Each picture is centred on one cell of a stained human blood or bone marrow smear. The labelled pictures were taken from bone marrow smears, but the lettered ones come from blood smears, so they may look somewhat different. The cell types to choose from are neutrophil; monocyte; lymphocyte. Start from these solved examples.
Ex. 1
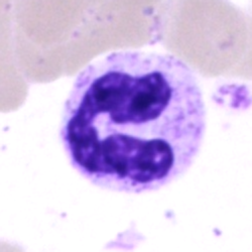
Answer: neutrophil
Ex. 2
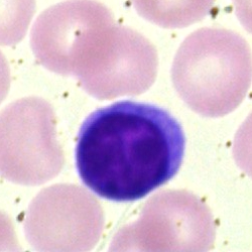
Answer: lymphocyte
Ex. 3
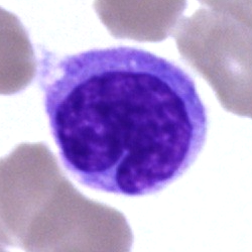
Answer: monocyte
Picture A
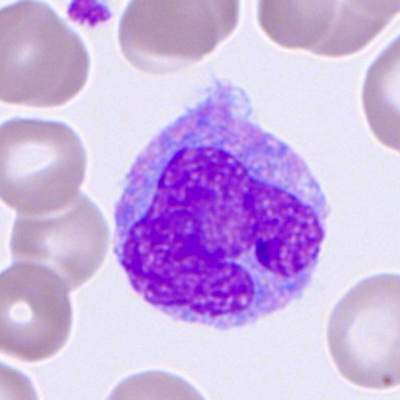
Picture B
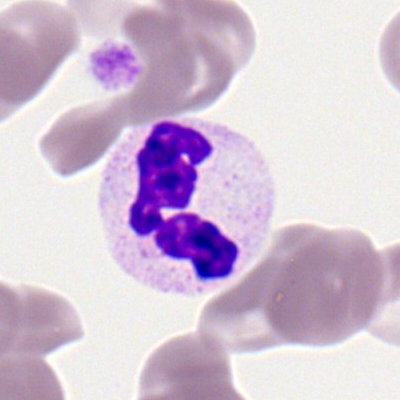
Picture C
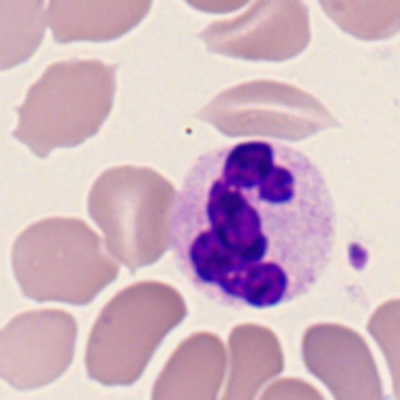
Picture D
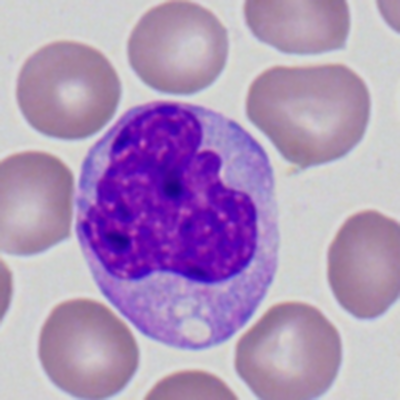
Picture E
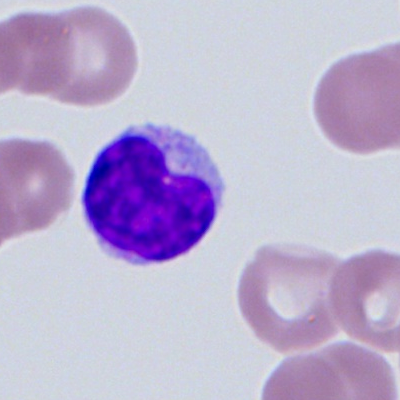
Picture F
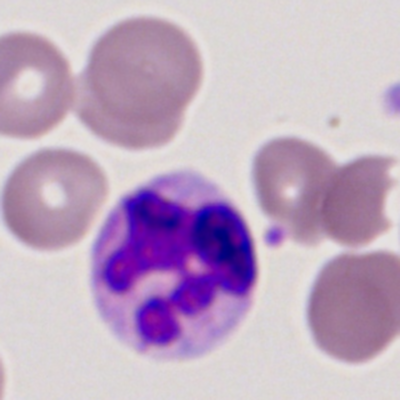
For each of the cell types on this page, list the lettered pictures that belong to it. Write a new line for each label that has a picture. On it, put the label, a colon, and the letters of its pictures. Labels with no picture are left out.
neutrophil: B, C, F
monocyte: A, D
lymphocyte: E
